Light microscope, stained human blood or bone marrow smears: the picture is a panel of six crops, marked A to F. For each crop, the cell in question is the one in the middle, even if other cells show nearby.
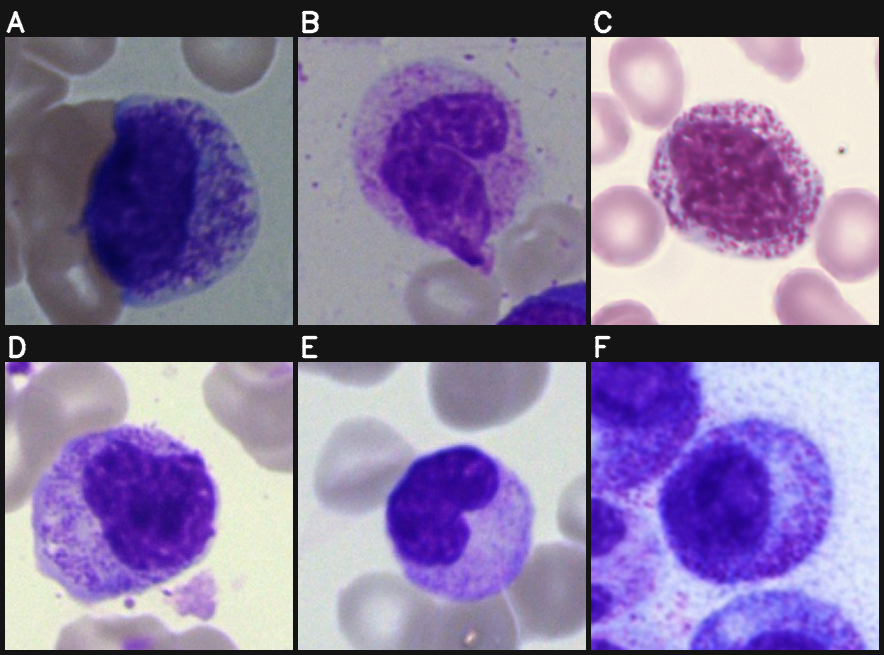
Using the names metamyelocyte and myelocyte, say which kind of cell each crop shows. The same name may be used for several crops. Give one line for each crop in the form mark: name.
A: myelocyte
B: metamyelocyte
C: myelocyte
D: myelocyte
E: metamyelocyte
F: myelocyte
